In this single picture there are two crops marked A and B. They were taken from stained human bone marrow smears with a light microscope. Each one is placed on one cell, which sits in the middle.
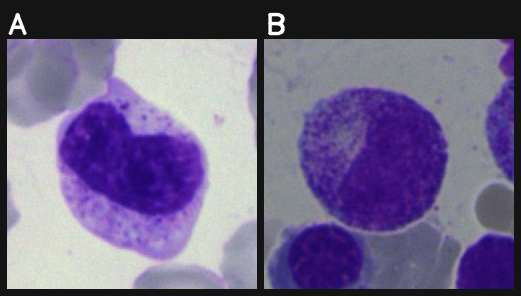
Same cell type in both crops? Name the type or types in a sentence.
No, on this set crop A shows a metamyelocyte and crop B shows a myelocyte.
